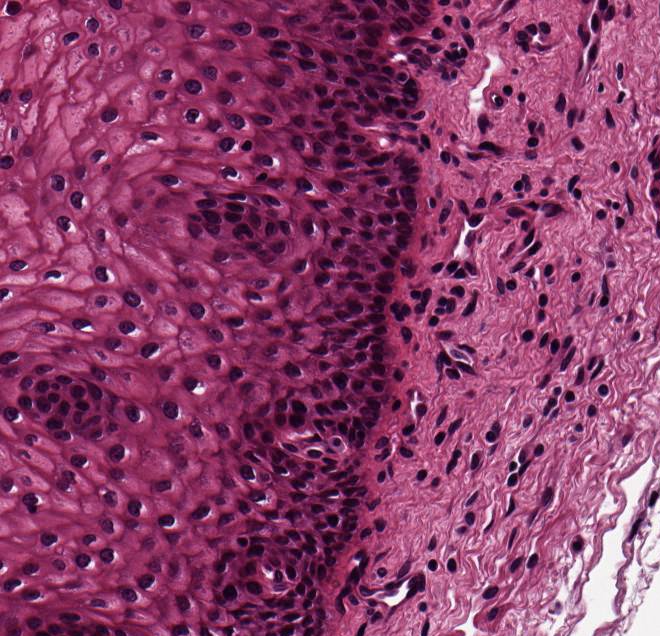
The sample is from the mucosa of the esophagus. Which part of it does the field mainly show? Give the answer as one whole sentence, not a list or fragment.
The part in view in this section is stratified squamous nonkeratinized epithelium.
